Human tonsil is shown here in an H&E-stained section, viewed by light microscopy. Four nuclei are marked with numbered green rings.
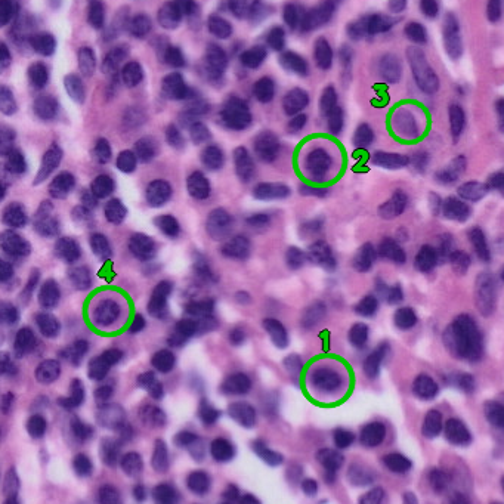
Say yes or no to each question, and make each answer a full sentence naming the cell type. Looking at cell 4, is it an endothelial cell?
No, the cell carrying number 4 is a plasma cell, not an endothelial cell.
